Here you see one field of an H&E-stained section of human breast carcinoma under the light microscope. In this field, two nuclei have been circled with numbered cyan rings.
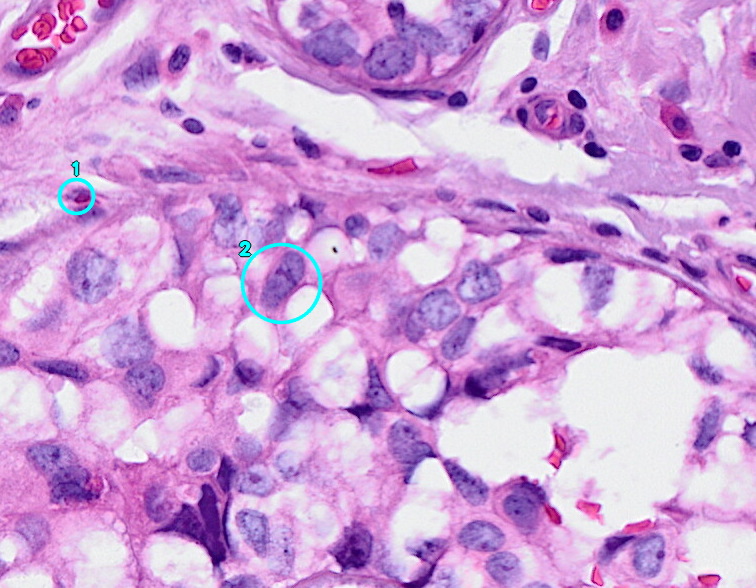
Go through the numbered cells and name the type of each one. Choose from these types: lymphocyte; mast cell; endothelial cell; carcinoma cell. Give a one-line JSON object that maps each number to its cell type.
{"1": "endothelial cell", "2": "carcinoma cell"}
